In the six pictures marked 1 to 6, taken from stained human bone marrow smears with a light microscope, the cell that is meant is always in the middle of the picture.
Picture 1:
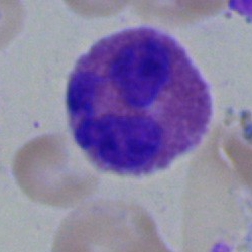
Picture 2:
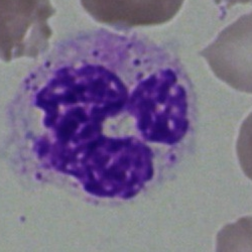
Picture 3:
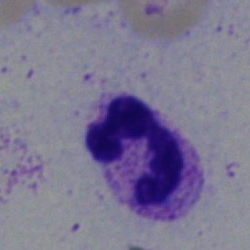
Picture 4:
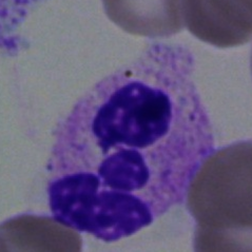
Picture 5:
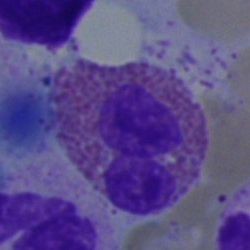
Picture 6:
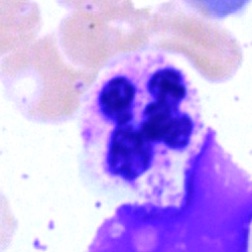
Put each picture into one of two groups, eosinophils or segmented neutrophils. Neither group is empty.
1: eosinophil
2: segmented neutrophil
3: segmented neutrophil
4: segmented neutrophil
5: eosinophil
6: segmented neutrophil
